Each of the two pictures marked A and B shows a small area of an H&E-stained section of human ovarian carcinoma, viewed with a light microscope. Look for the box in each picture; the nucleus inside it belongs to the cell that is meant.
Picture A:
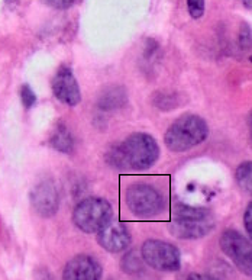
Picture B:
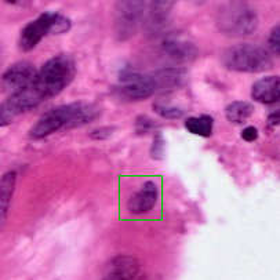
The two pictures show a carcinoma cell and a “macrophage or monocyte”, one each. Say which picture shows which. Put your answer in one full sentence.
Picture B shows a “macrophage or monocyte”, while picture A shows a carcinoma cell.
